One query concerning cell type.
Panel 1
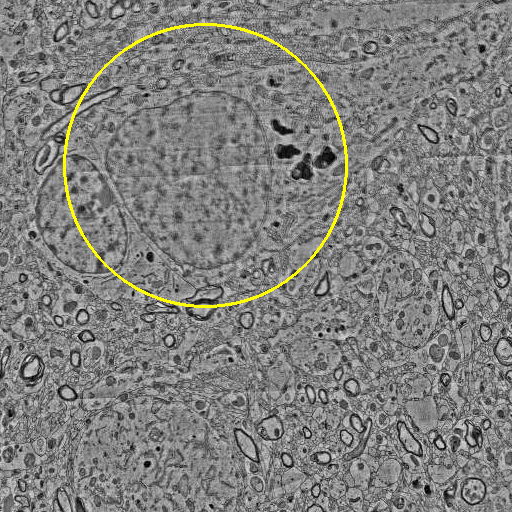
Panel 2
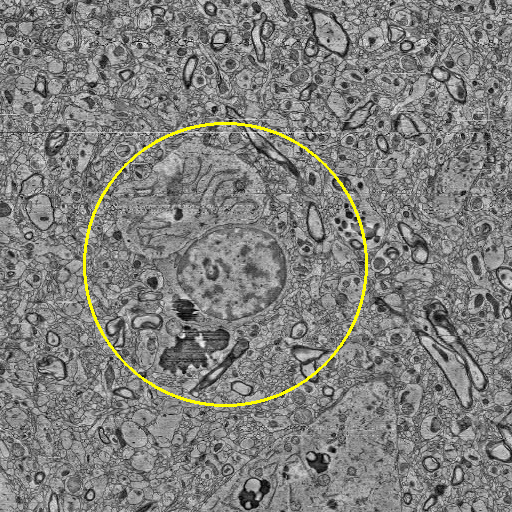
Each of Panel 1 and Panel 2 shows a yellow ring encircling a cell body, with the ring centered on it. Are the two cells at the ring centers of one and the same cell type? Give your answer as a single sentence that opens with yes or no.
No, the cell centered in Panel 1 and the one in Panel 2 are of two types.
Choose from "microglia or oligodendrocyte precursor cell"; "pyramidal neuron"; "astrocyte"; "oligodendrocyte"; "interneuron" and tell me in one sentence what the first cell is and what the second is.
What the first ring is centred on is a pyramidal neuron; what the second ring is centred on is an oligodendrocyte.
